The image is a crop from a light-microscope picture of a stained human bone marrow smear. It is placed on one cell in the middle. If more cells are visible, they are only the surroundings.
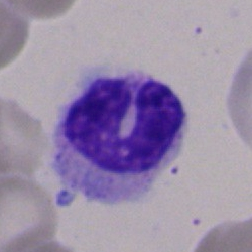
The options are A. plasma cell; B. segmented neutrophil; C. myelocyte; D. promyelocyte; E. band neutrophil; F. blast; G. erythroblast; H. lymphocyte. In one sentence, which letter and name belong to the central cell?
The cell in the middle is a band neutrophil, so option E is correct.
